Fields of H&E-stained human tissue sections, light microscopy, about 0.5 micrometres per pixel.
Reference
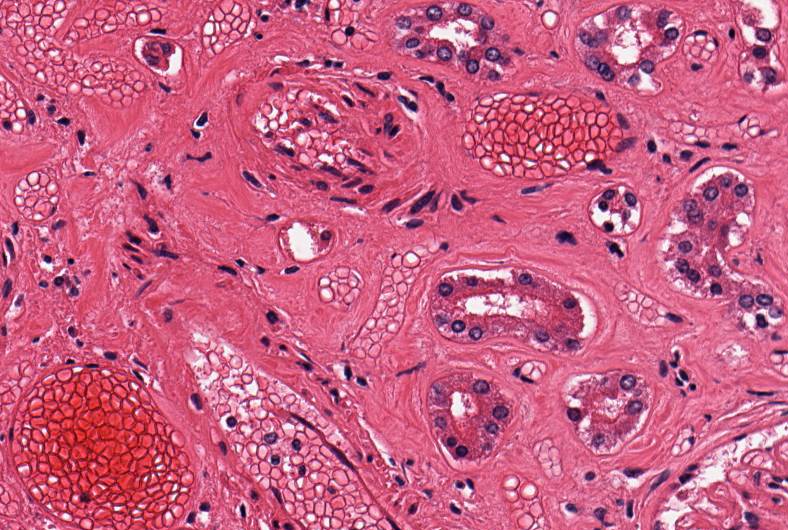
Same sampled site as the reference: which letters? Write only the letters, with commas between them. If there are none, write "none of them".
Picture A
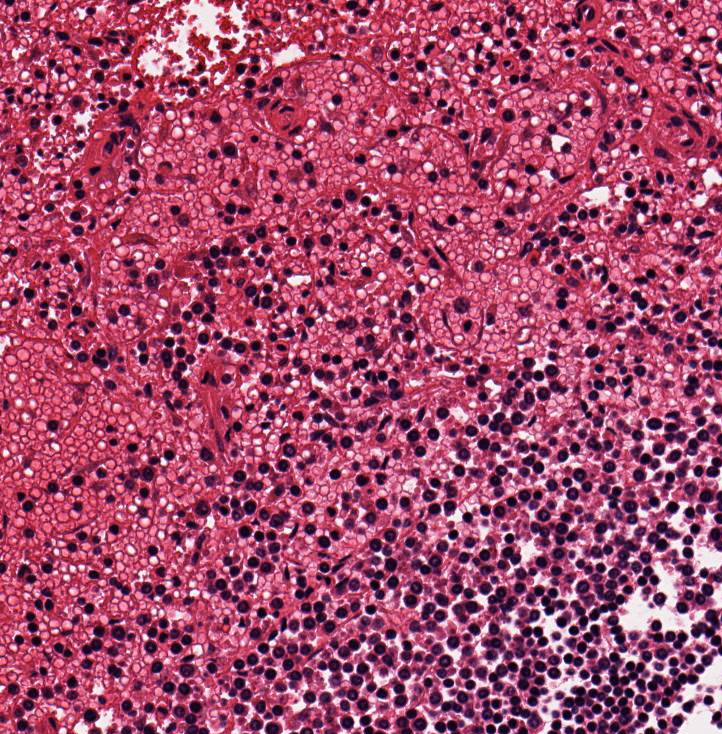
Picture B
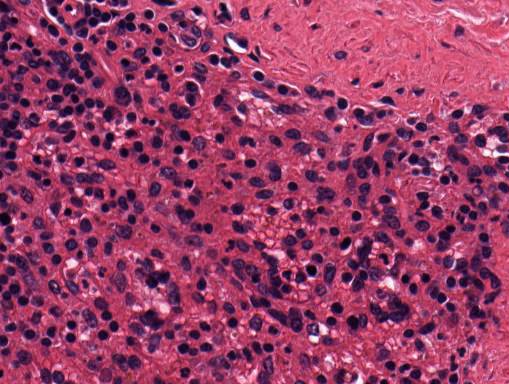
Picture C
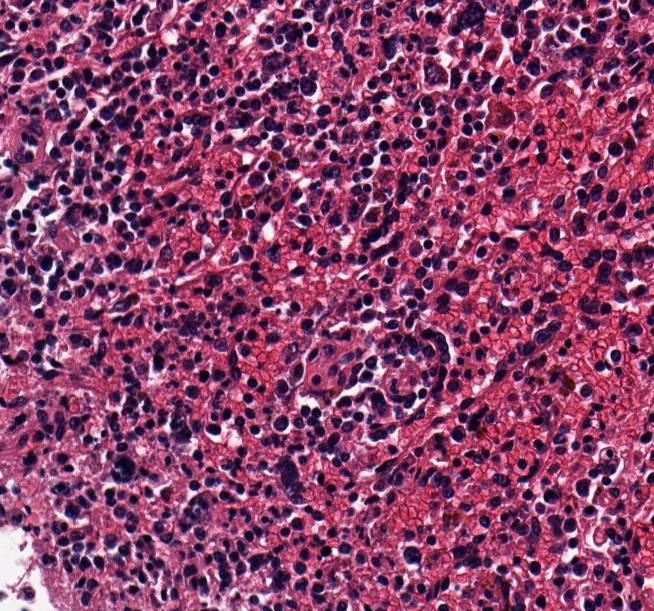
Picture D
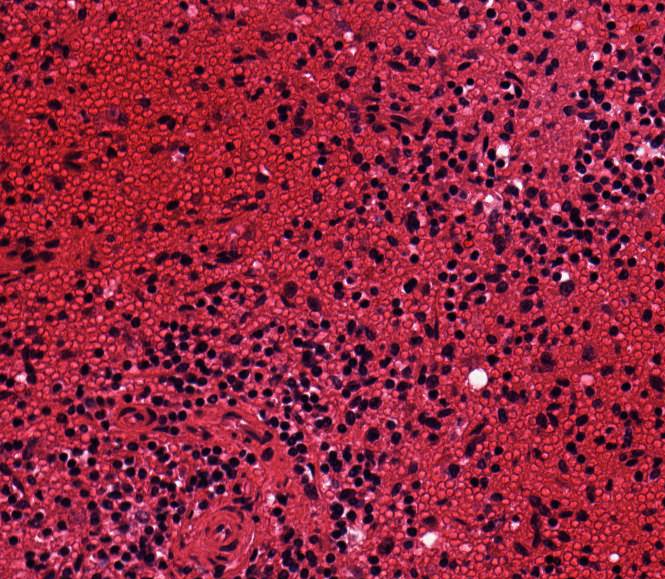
none of them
